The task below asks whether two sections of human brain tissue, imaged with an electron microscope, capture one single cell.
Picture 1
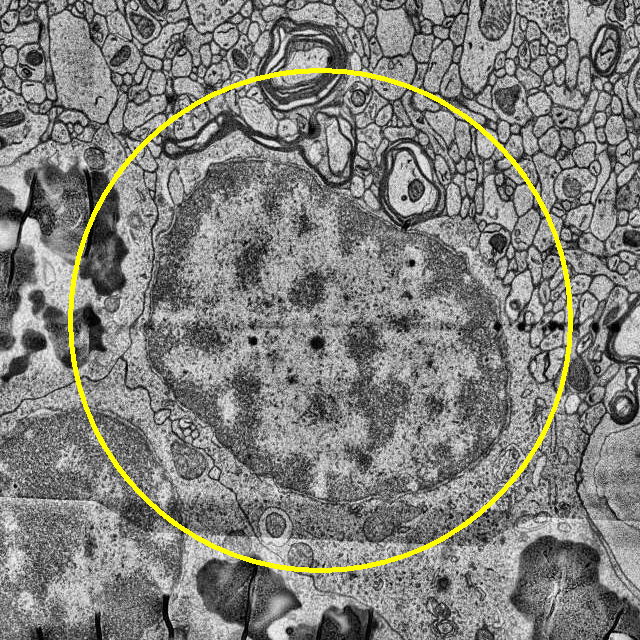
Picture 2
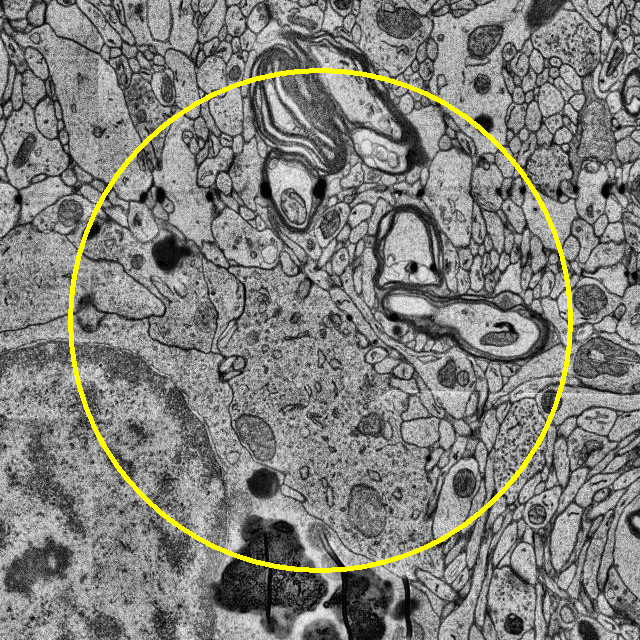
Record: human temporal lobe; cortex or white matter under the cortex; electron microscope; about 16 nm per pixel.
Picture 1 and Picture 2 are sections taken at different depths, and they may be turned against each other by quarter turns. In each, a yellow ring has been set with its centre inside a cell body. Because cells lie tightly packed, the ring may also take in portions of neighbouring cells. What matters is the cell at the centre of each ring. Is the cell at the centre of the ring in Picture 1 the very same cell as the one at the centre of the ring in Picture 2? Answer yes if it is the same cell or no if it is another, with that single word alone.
yes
